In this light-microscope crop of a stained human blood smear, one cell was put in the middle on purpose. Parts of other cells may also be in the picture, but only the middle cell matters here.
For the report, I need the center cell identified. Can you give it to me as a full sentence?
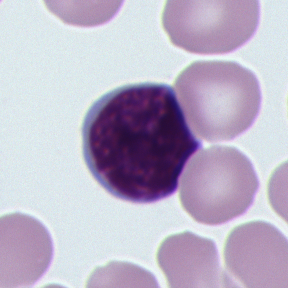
The cell shown in the center of this light-microscope crop is a typical lymphocyte.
